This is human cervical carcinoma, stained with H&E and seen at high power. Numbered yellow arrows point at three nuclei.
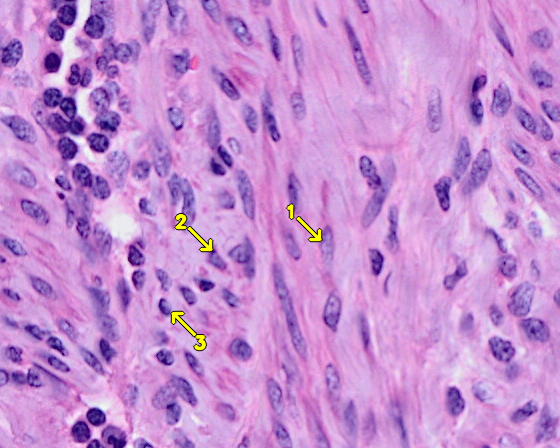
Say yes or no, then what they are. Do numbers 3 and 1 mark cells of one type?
No, sorry to say, cell 3 is a fibroblast and cell 1 is a smooth muscle cell.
